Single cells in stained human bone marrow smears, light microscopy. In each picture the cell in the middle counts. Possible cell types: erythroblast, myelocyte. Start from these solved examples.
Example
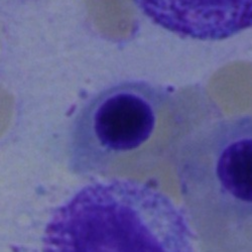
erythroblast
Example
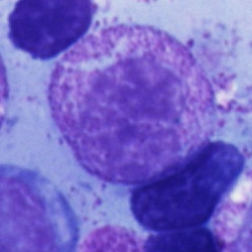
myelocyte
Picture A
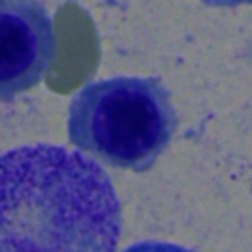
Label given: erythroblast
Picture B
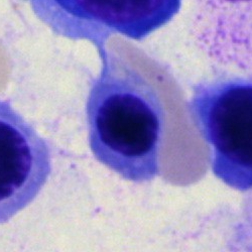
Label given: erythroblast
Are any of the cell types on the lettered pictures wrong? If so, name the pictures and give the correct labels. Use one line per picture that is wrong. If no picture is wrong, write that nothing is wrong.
None of the labels needs changing.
